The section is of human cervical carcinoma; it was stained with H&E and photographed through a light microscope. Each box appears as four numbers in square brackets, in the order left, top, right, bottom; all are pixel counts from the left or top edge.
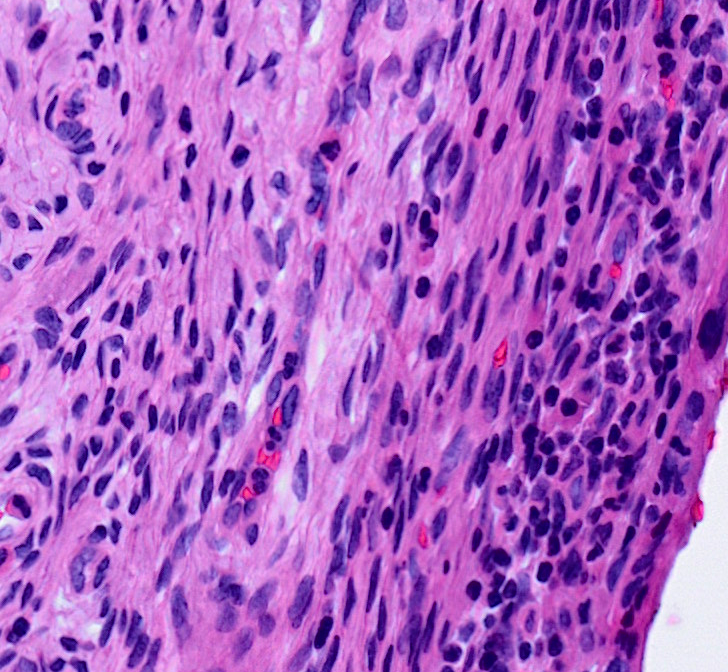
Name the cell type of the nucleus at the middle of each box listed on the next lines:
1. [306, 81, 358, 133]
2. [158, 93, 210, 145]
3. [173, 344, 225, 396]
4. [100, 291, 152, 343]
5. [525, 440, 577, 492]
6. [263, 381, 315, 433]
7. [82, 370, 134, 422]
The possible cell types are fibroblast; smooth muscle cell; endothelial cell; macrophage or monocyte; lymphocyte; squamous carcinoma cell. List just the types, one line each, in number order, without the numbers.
endothelial cell
lymphocyte
fibroblast
fibroblast
lymphocyte
endothelial cell
fibroblast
